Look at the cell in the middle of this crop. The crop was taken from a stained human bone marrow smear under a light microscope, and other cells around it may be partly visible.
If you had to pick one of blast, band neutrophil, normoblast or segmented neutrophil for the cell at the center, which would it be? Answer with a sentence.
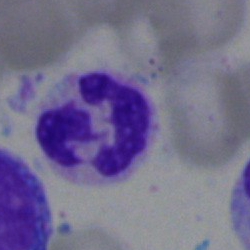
Positioned in the middle of the crop is a segmented neutrophil.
